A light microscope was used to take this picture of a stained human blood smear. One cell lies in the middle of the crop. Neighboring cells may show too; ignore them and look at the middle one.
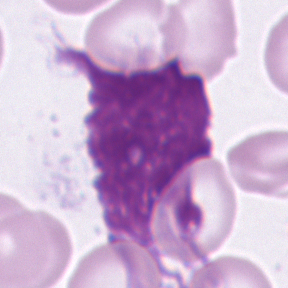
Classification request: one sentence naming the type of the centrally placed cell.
The cell centered in this field of view is a smudge cell.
